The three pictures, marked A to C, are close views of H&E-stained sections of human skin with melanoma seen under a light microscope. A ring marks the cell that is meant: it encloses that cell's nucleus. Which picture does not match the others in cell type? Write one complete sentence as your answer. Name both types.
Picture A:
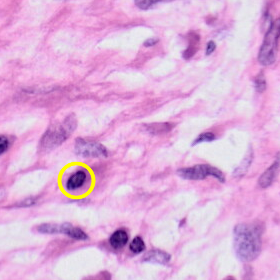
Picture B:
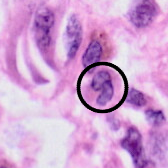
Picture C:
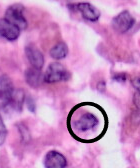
Picture A differs, because its cell is a plasma cell and the rest are “macrophages or monocytes”.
